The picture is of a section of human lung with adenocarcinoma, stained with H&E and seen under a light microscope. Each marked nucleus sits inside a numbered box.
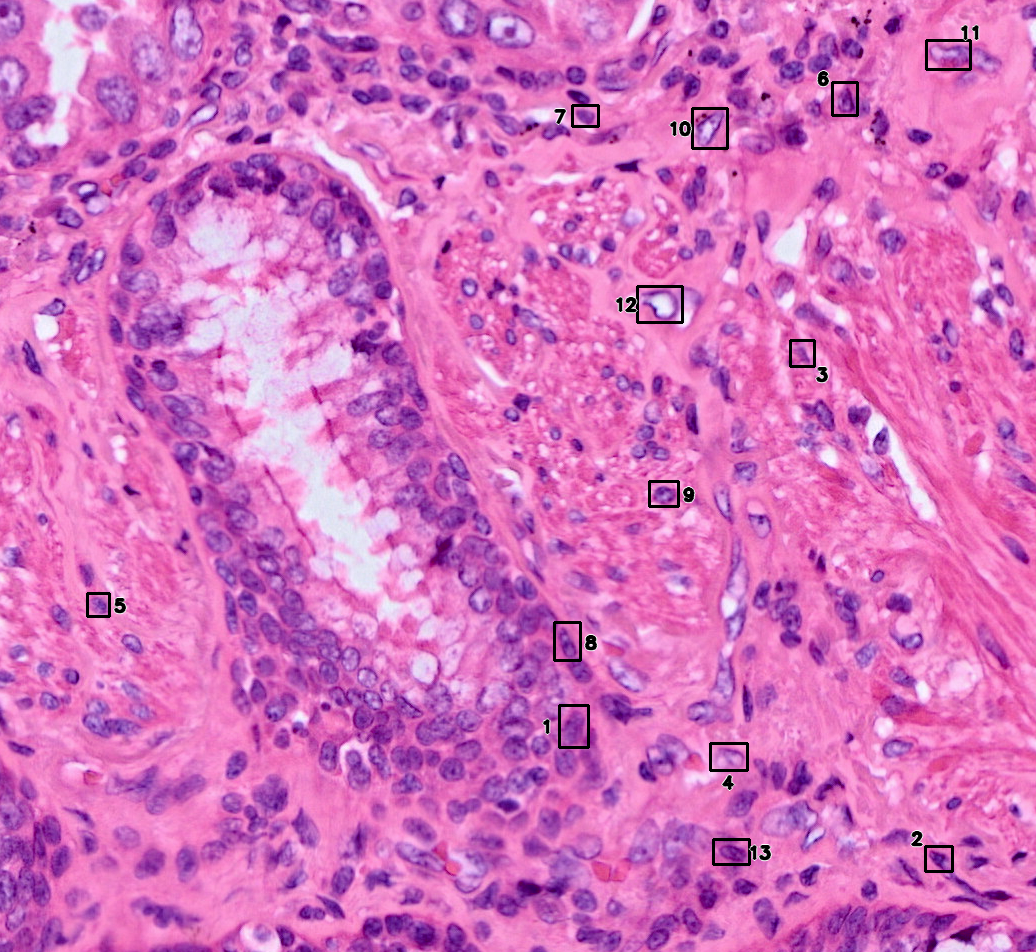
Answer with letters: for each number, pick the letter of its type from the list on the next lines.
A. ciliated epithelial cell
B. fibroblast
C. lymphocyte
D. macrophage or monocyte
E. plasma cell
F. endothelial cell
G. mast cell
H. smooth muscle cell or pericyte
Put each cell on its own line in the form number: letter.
1: A
2: G
3: H
4: F
5: H
6: E
7: C
8: A
9: G
10: B
11: F
12: F
13: E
